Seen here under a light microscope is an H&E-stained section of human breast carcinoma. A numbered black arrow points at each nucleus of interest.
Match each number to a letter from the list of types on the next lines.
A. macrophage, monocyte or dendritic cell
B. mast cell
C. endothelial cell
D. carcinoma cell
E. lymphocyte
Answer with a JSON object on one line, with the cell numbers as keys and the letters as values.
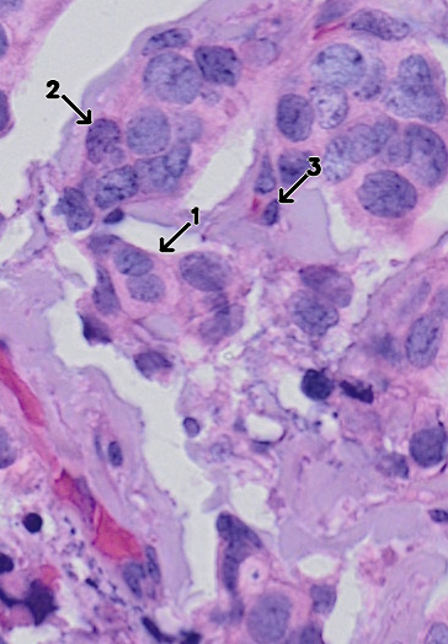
{"1": "D", "2": "D", "3": "C"}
